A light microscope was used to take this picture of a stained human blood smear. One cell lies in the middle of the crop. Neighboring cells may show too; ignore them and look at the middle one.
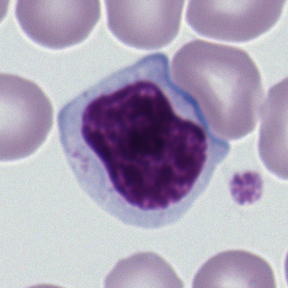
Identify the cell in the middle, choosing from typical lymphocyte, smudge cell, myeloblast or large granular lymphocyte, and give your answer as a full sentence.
Within this crop, a large granular lymphocyte occupies the central position.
